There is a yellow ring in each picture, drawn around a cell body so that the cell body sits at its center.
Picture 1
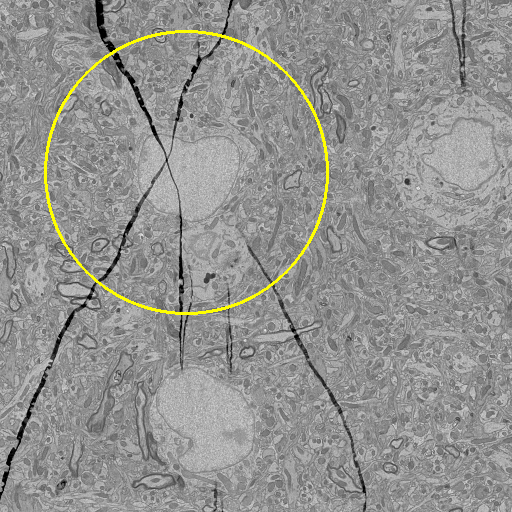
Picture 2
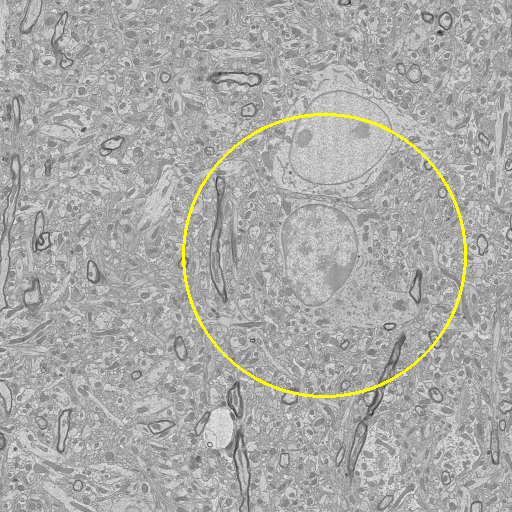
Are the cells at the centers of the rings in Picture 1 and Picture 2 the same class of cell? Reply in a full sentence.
No, the two cells are two classes of cell.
